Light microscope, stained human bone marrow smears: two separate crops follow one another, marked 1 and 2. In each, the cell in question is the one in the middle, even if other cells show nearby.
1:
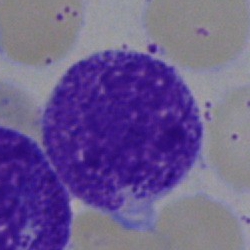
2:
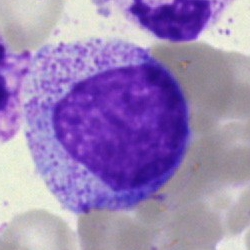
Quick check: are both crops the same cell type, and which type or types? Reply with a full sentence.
Yes, the two crops show myelocytes, both of them.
